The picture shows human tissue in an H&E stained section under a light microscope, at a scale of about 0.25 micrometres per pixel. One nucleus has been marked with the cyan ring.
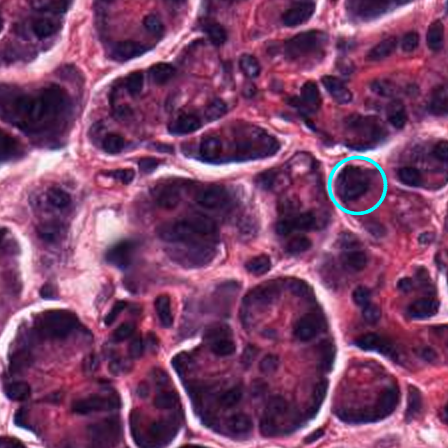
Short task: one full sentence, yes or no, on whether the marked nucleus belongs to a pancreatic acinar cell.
Yes, the nucleus that has been marked is that of a pancreatic acinar cell.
